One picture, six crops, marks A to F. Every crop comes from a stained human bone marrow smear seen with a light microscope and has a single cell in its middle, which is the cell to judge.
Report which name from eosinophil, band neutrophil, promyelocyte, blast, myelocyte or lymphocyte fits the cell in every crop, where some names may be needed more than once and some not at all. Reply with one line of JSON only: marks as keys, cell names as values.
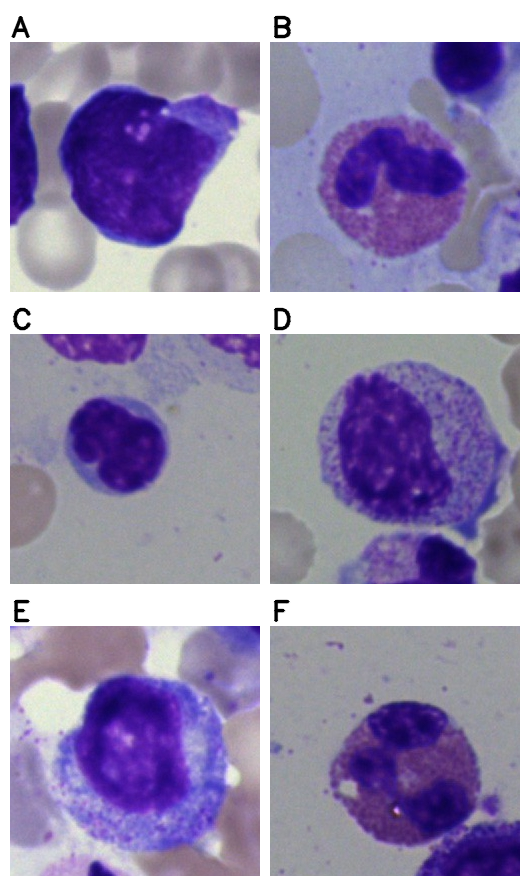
{"A": "blast", "B": "eosinophil", "C": "lymphocyte", "D": "myelocyte", "E": "promyelocyte", "F": "eosinophil"}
